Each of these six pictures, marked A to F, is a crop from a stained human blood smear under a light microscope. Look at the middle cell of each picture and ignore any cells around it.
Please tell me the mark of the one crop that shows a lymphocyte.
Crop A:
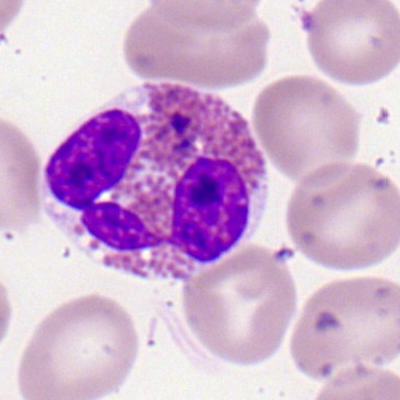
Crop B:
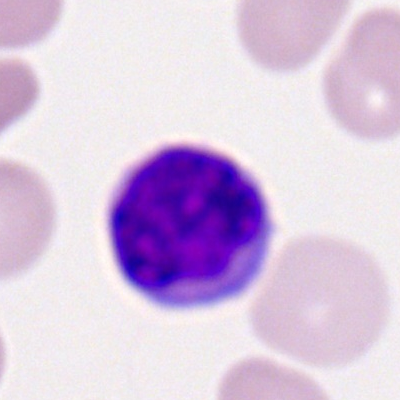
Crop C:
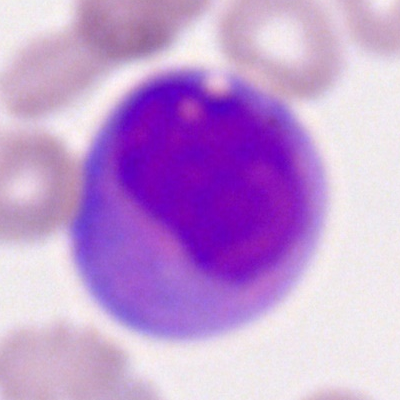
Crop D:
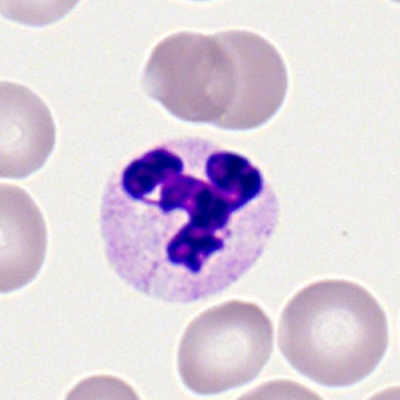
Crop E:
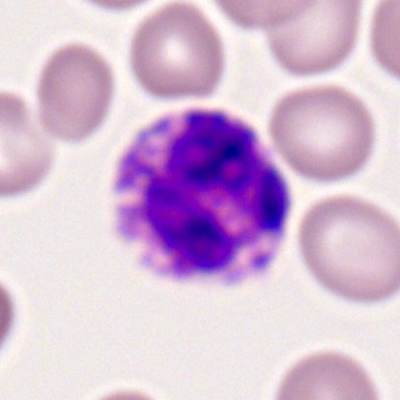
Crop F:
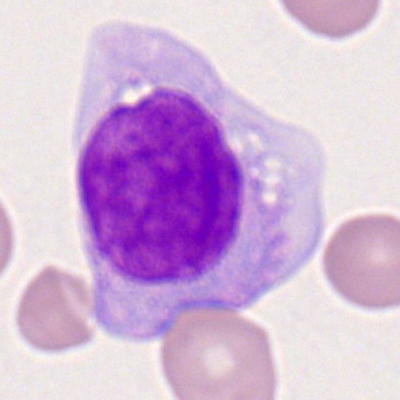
B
